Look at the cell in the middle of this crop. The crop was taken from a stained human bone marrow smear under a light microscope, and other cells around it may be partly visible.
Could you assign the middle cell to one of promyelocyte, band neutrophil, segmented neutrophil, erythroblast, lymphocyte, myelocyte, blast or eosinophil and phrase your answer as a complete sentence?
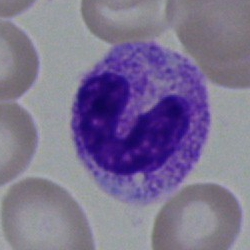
This crop has a segmented neutrophil at its centre.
